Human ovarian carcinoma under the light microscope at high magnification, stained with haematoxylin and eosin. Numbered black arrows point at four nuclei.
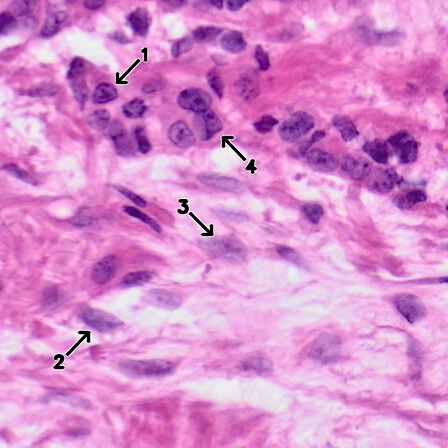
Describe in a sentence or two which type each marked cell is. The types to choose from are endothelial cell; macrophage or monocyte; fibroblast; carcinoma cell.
Cell 1 is a macrophage or monocyte. Cells 2 and 3 are fibroblasts. Cell 4 is a carcinoma cell.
